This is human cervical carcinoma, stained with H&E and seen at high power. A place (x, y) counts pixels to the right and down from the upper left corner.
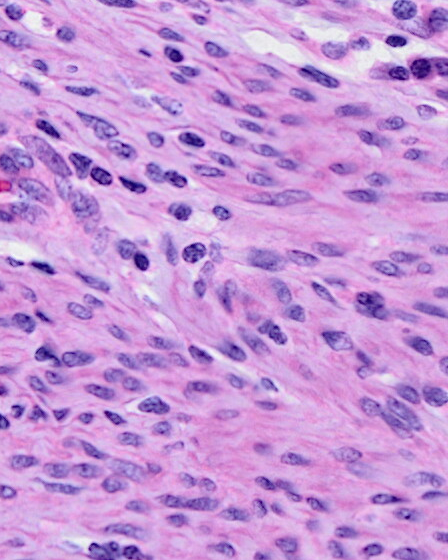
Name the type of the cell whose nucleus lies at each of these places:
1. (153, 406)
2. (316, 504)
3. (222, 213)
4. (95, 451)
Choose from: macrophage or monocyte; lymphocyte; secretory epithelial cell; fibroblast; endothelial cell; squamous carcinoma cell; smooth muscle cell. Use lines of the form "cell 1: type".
cell 1: lymphocyte
cell 2: smooth muscle cell
cell 3: smooth muscle cell
cell 4: smooth muscle cell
